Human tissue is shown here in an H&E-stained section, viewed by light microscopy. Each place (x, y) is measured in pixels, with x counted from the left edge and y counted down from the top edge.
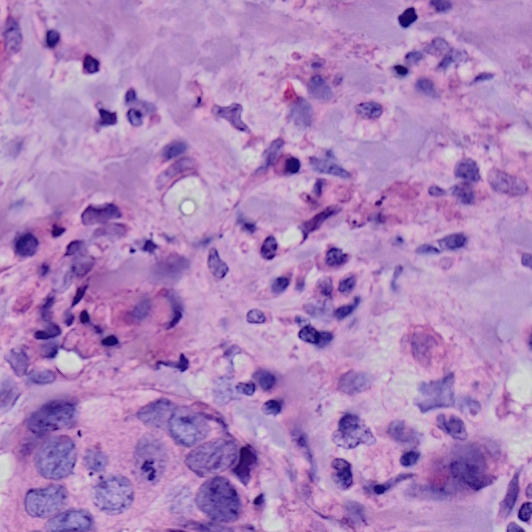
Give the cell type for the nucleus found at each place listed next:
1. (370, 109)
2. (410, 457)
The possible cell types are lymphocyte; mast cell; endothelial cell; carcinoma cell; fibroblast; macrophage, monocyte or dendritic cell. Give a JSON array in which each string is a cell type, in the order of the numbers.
["mast cell", "lymphocyte"]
